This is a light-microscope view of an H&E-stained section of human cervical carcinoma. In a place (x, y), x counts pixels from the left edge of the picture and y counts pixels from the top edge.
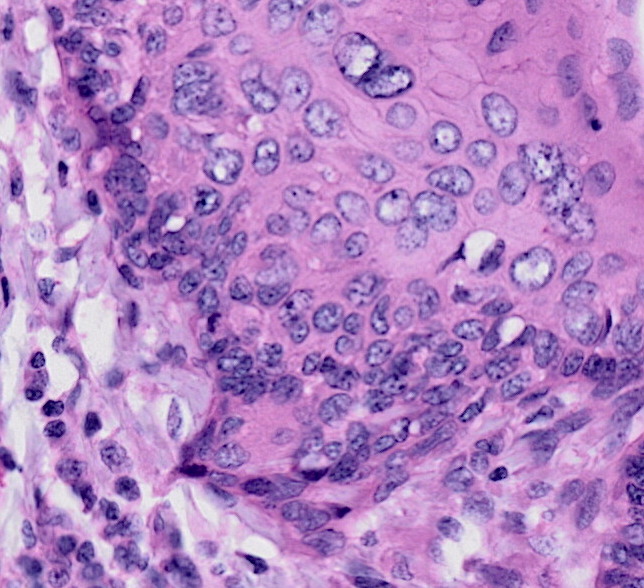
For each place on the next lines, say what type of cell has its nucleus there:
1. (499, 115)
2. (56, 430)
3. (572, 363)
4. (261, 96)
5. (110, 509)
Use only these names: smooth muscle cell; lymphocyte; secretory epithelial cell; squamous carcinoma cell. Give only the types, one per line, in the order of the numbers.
squamous carcinoma cell
lymphocyte
squamous carcinoma cell
squamous carcinoma cell
lymphocyte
